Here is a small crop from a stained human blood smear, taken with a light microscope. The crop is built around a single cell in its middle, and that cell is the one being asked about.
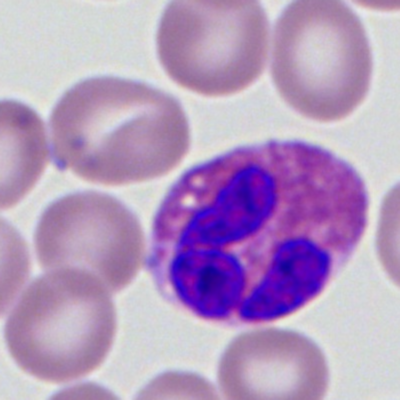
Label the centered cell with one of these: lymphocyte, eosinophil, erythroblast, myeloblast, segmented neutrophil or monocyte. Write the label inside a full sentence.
By type, the central cell of the crop is an eosinophil.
